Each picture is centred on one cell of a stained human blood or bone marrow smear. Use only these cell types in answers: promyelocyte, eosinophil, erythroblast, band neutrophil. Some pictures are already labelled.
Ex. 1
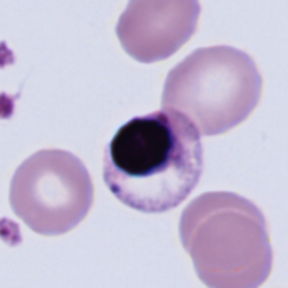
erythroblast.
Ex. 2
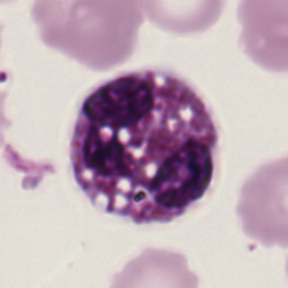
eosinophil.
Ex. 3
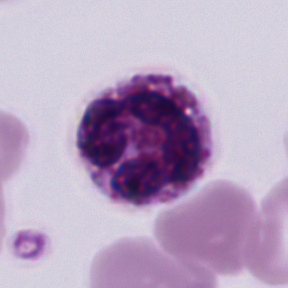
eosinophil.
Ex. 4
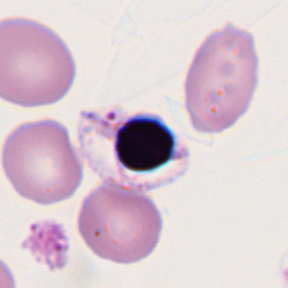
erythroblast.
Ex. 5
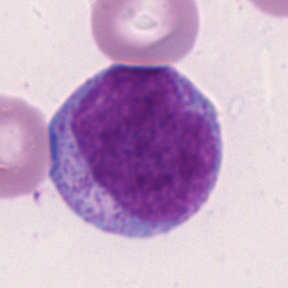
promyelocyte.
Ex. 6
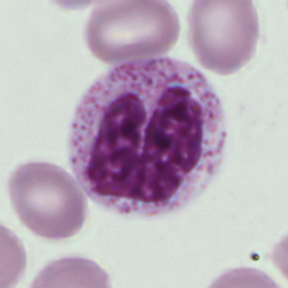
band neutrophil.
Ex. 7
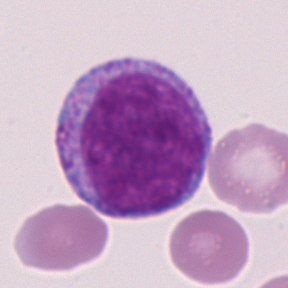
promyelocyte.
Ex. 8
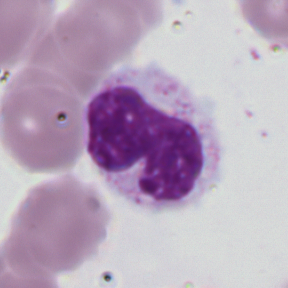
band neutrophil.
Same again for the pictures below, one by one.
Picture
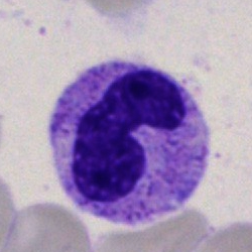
band neutrophil.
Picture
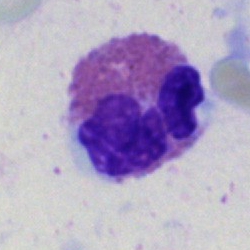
eosinophil.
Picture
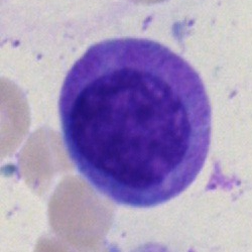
promyelocyte.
